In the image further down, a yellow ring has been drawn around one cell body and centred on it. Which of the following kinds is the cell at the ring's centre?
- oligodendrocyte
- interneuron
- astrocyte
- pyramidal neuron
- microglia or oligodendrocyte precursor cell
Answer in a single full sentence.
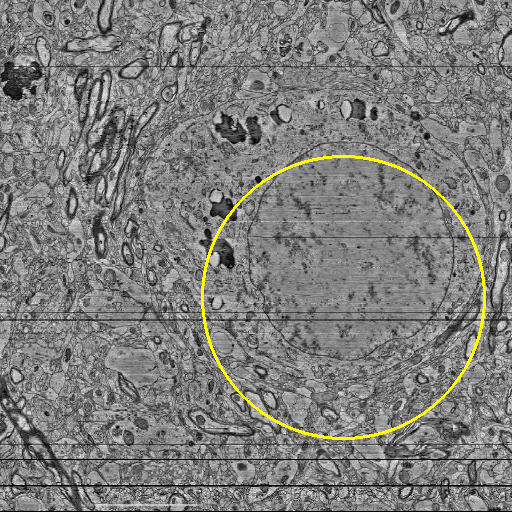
In the picture, the cell sitting at the centre of the yellow ring is a pyramidal neuron.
